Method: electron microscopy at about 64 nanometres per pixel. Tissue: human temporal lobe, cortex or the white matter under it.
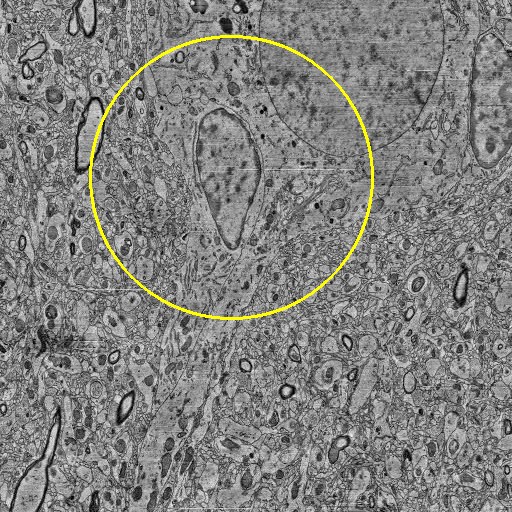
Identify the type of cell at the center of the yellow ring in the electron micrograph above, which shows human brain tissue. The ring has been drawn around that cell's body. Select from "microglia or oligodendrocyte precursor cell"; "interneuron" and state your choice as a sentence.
The yellow ring is centered on the body of a microglial cell or oligodendrocyte precursor cell.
